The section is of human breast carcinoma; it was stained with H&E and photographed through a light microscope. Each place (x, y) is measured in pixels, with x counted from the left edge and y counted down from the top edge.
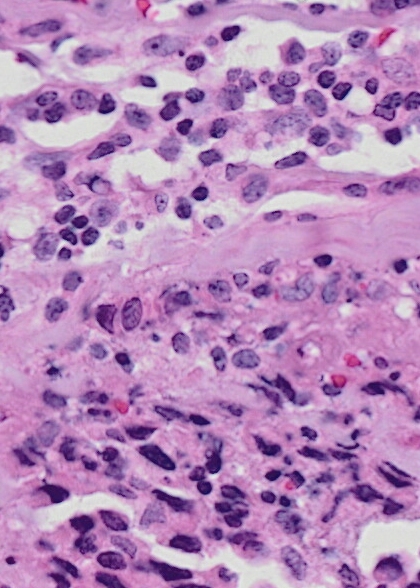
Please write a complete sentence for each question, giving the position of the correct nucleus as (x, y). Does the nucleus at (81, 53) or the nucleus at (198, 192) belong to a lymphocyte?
Answering which nucleus it is: the one at (198, 192), belonging to a lymphocyte.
